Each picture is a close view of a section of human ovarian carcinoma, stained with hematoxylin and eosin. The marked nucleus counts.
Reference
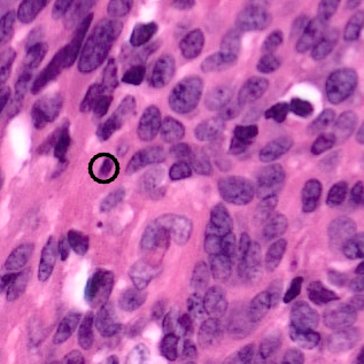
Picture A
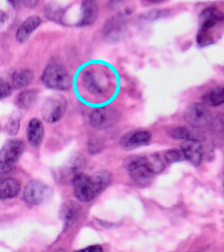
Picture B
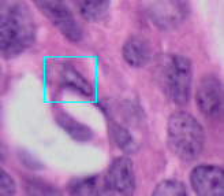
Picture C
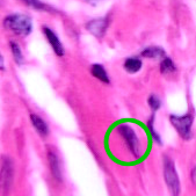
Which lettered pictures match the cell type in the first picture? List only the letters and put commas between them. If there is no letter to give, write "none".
A, B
